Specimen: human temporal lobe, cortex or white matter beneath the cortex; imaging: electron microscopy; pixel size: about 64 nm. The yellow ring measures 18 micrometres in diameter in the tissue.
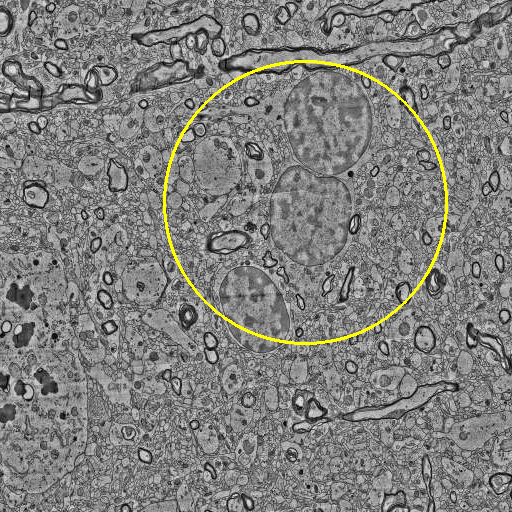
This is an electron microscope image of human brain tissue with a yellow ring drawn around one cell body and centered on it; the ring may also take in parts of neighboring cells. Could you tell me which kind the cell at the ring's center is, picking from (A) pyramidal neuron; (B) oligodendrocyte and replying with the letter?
B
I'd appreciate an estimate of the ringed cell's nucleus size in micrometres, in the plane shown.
The nucleus is approximately 6 micrometers across in this plane.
